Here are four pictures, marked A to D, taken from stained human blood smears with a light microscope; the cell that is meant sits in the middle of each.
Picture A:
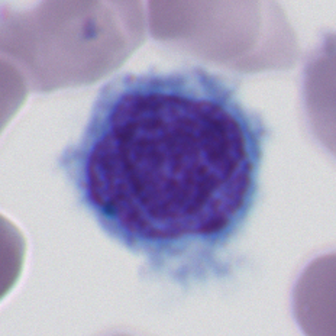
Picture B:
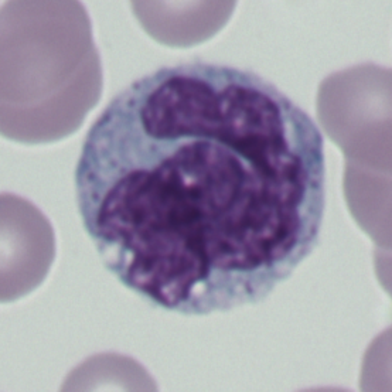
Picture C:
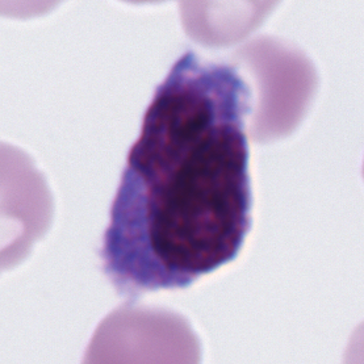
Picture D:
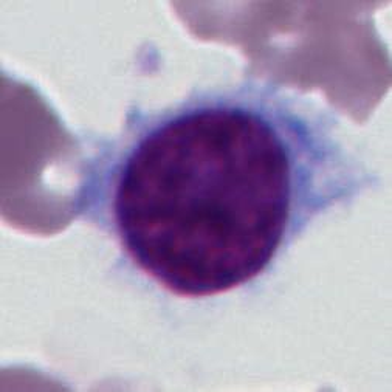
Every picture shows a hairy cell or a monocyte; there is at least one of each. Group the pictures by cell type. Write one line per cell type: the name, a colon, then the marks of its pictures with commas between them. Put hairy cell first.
hairy cell: D
monocyte: A, B, C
